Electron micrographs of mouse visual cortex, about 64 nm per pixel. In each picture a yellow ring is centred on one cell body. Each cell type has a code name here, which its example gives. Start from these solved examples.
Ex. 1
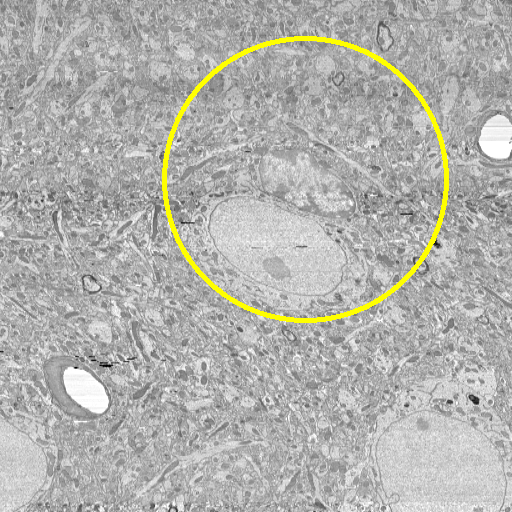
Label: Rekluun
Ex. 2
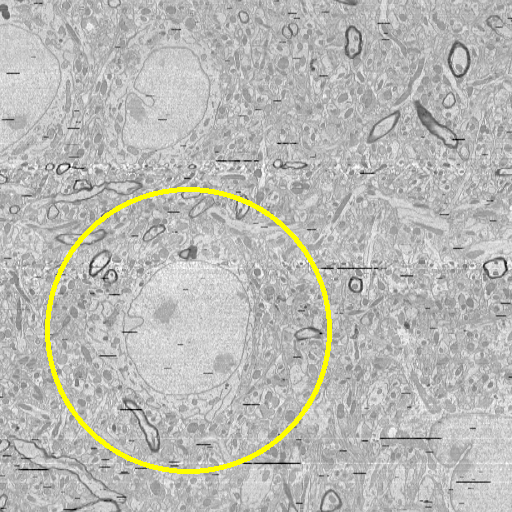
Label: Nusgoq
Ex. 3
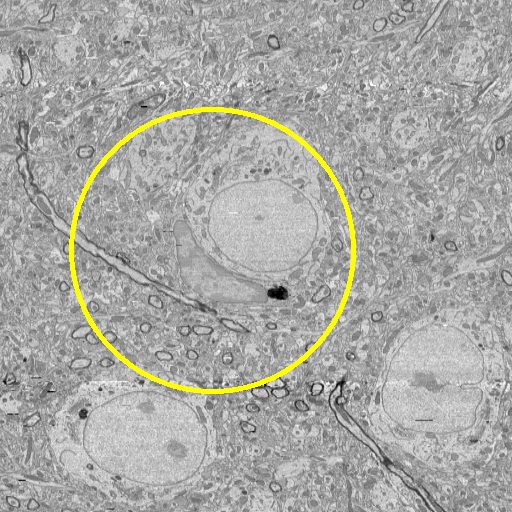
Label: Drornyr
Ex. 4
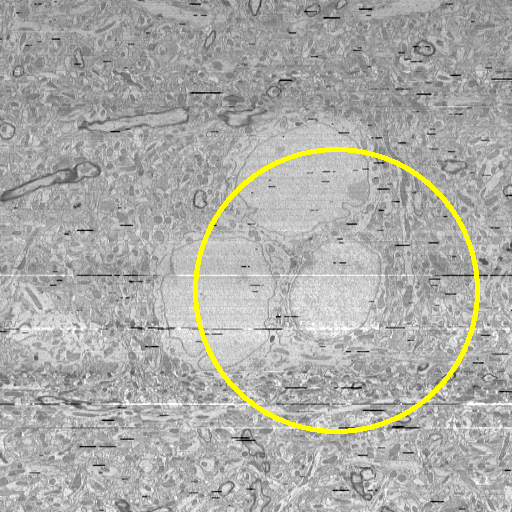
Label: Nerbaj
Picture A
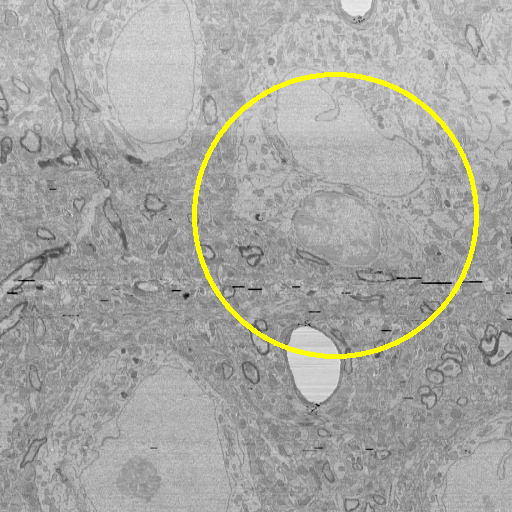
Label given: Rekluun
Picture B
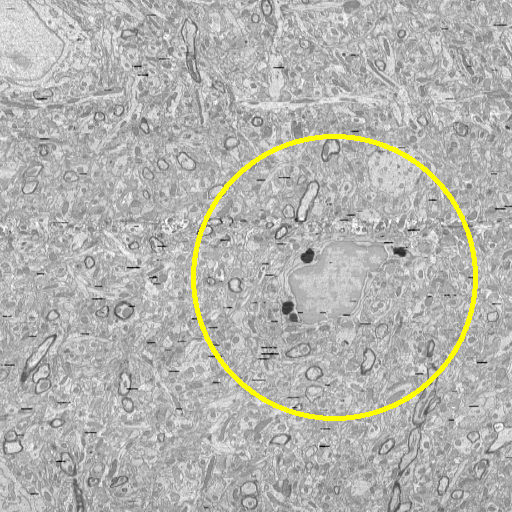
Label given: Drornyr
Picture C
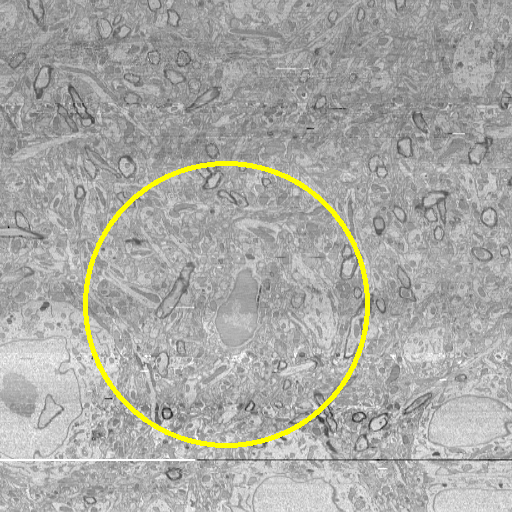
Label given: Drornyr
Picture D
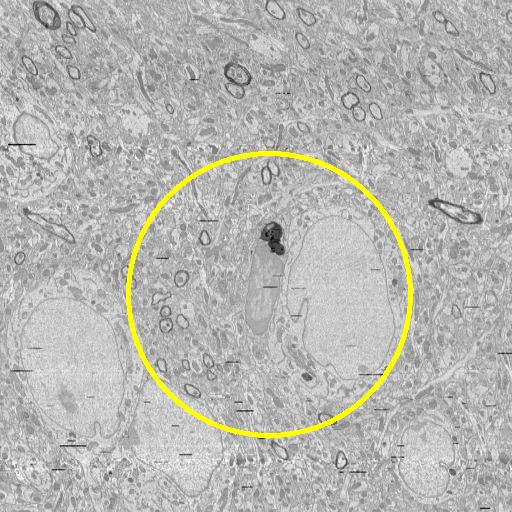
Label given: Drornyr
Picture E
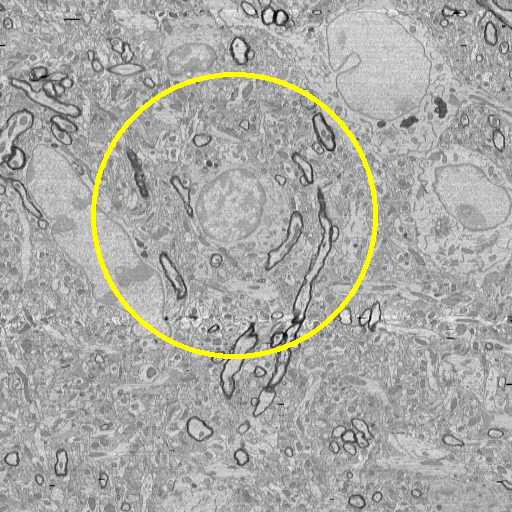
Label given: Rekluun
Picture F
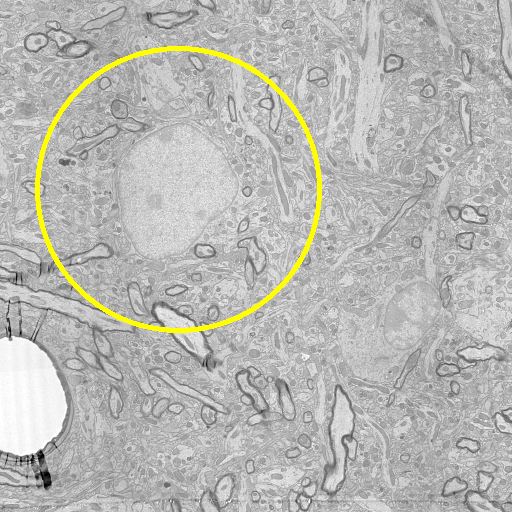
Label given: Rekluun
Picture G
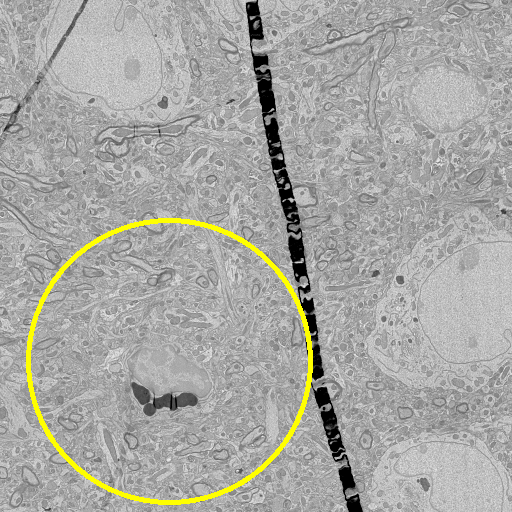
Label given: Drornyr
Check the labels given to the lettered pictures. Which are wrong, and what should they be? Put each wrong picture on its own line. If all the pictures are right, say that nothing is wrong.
F is labelled Rekluun; correct label: Nerbaj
